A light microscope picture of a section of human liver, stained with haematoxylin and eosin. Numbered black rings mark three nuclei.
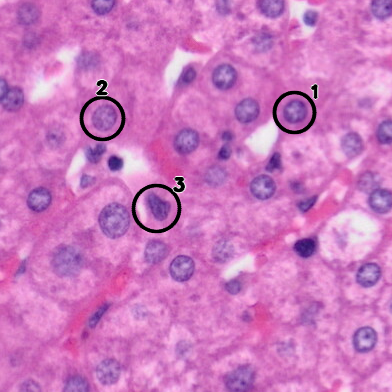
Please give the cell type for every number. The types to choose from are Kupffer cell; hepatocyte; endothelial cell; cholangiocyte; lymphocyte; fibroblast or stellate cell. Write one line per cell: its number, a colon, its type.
1: hepatocyte
2: hepatocyte
3: Kupffer cell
